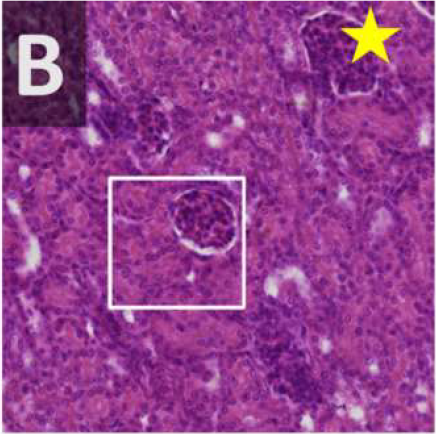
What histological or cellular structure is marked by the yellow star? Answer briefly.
Glomerulus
